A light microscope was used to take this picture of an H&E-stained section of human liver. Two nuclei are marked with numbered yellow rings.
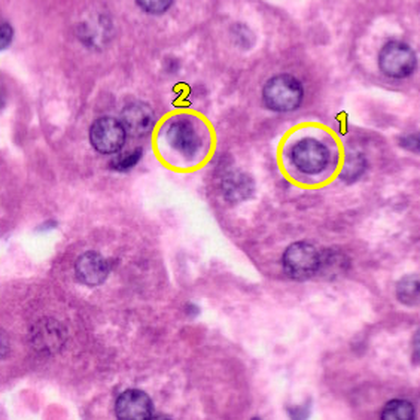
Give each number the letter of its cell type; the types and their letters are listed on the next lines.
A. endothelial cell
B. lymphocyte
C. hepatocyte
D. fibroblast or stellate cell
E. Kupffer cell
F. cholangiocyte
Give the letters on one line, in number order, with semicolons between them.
C; A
